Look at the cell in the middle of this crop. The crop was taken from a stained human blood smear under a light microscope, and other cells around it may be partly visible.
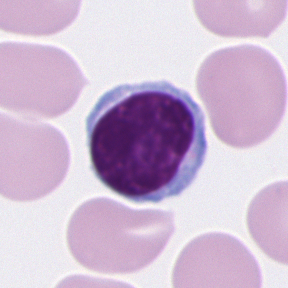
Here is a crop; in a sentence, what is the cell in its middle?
To answer, the cell in the center of the crop is a lymphocyte.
